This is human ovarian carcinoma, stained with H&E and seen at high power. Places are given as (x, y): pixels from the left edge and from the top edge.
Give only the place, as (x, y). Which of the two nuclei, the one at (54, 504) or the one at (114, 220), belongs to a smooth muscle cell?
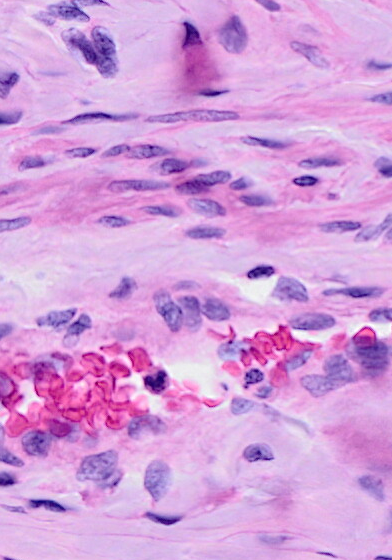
(114, 220)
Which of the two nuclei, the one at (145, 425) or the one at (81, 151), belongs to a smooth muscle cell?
(81, 151)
